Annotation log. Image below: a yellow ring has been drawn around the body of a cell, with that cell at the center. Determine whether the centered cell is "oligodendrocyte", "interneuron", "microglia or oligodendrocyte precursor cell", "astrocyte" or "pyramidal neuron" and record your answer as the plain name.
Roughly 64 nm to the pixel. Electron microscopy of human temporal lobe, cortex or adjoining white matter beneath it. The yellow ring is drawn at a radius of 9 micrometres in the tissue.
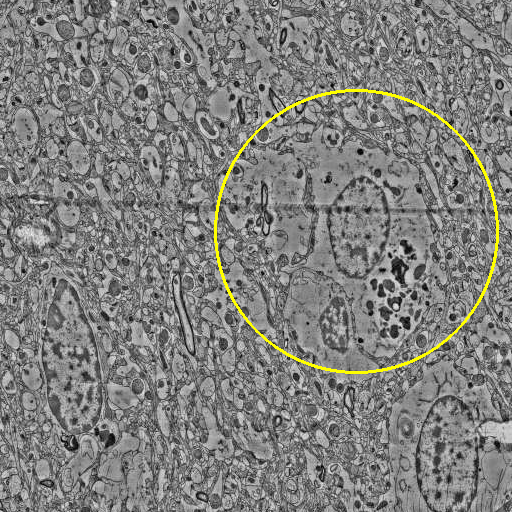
astrocyte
